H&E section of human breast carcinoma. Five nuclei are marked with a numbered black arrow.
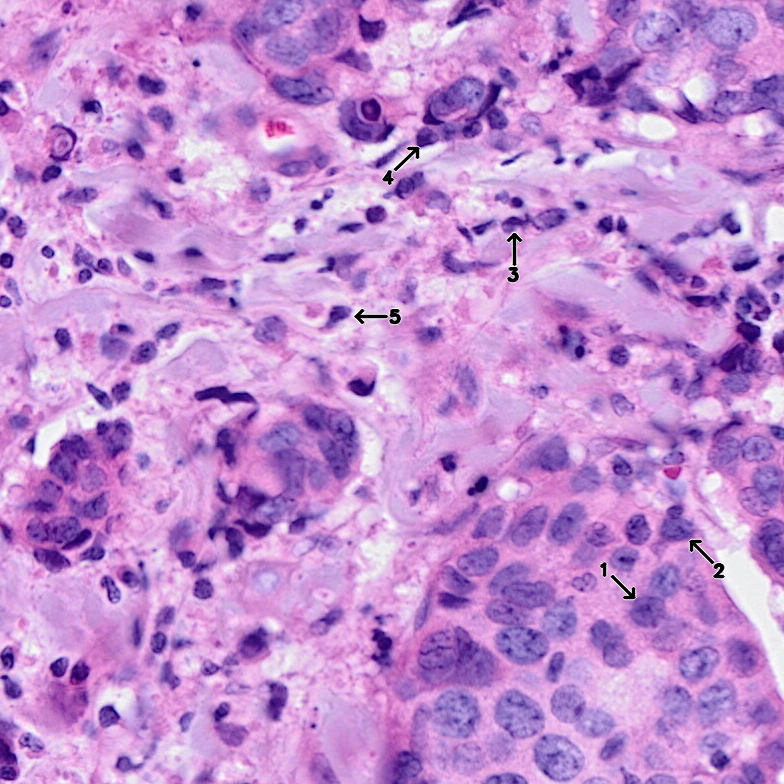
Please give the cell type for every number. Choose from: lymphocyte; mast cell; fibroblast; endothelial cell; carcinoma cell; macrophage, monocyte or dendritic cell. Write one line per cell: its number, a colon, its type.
1: carcinoma cell
2: carcinoma cell
3: lymphocyte
4: lymphocyte
5: lymphocyte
